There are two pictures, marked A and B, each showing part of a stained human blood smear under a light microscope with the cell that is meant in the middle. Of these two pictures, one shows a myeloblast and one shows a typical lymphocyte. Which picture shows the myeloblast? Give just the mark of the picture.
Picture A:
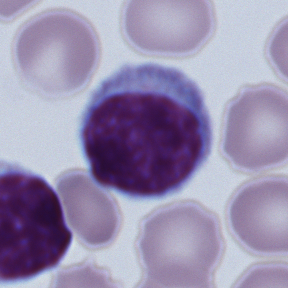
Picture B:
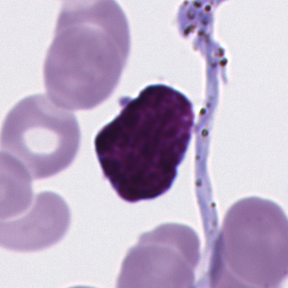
B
